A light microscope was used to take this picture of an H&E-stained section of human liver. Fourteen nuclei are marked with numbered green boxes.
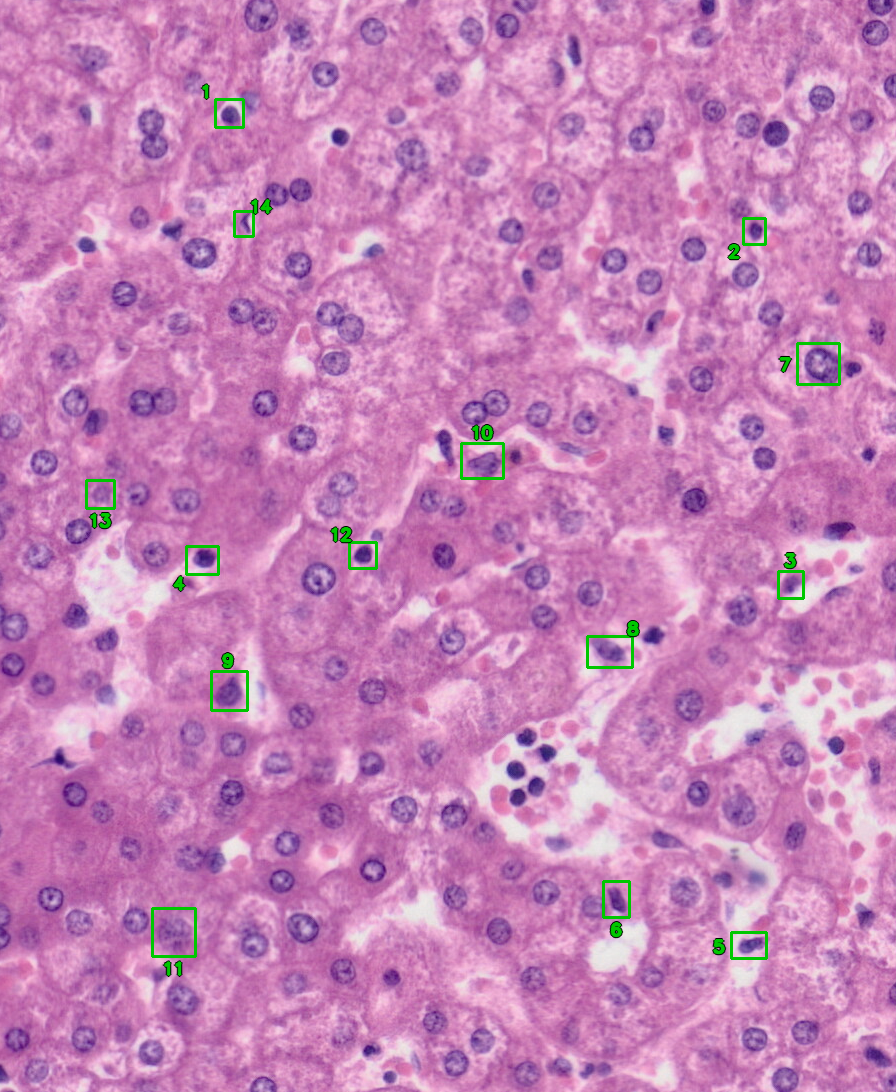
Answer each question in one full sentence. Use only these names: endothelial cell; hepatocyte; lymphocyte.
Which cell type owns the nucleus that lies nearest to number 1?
Closest to number 1 lies the nucleus of an endothelial cell.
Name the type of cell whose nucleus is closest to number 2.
It is a hepatocyte whose nucleus is nearest to number 2.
